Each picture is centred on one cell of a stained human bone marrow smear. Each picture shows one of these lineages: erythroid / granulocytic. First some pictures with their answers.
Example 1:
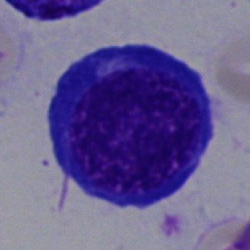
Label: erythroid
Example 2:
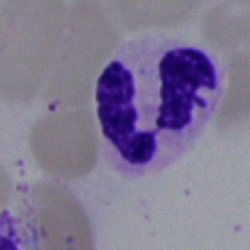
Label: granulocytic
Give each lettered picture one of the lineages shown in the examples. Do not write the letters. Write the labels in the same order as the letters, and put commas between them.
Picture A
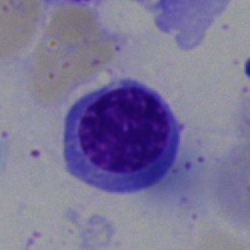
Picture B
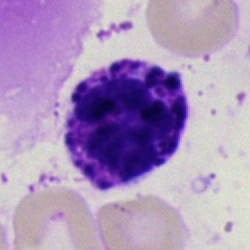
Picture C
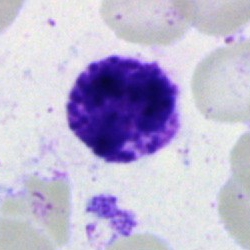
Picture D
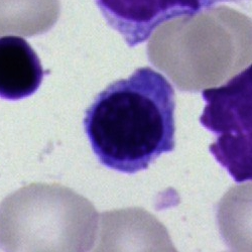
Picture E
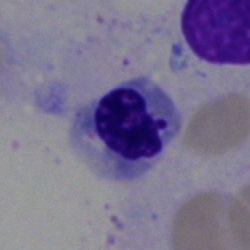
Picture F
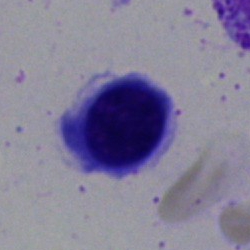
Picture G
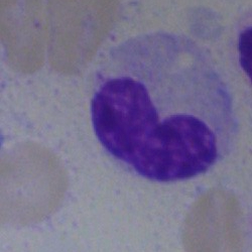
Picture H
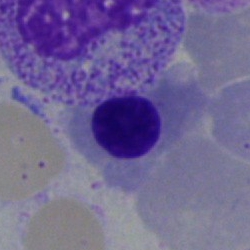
erythroid, granulocytic, granulocytic, erythroid, erythroid, erythroid, granulocytic, erythroid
